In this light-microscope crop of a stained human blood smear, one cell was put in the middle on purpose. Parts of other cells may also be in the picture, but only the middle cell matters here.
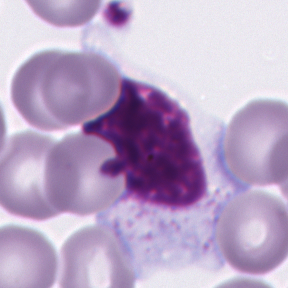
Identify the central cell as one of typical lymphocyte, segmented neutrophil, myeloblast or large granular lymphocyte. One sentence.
The middle of this crop is occupied by a large granular lymphocyte.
